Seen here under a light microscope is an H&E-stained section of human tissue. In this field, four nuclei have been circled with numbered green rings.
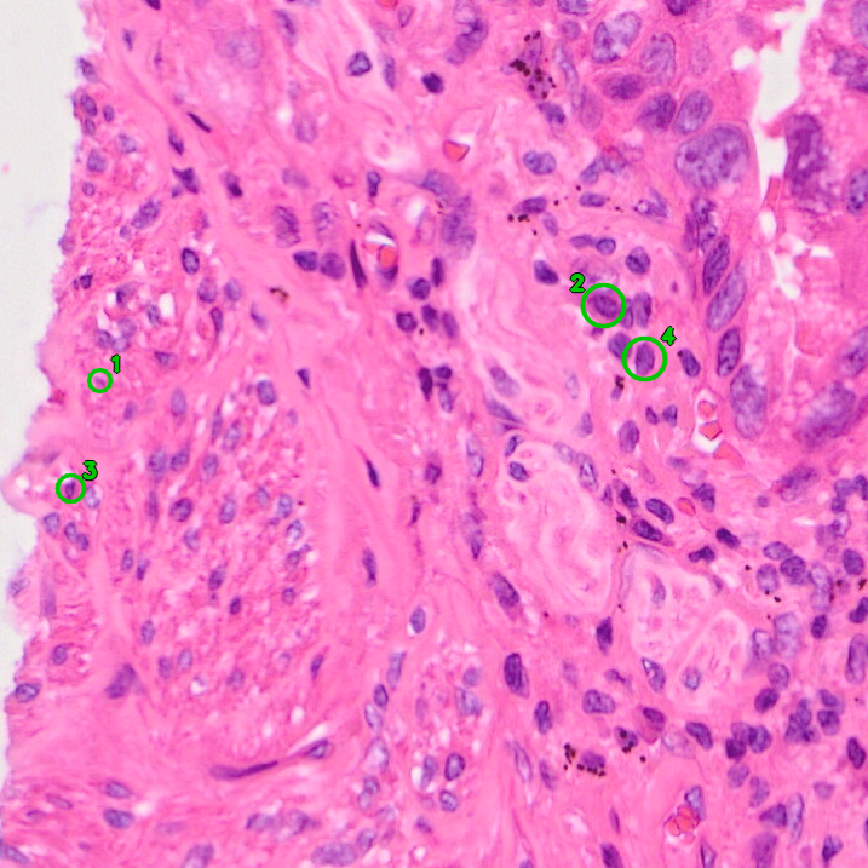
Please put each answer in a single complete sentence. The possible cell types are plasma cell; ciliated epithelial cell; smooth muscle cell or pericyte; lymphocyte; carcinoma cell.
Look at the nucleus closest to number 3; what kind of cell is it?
The cell nearest to number 3 is a smooth muscle cell or pericyte.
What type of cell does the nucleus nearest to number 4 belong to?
Closest to number 4 lies the nucleus of a lymphocyte.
